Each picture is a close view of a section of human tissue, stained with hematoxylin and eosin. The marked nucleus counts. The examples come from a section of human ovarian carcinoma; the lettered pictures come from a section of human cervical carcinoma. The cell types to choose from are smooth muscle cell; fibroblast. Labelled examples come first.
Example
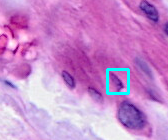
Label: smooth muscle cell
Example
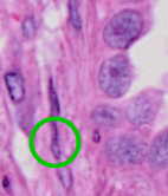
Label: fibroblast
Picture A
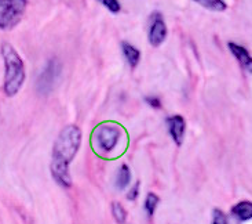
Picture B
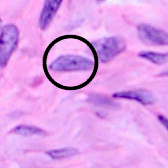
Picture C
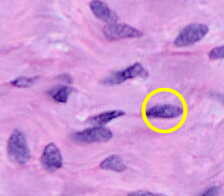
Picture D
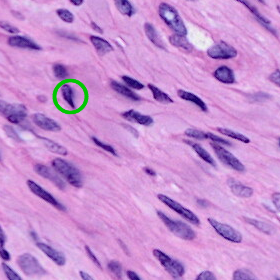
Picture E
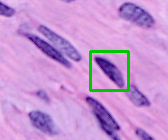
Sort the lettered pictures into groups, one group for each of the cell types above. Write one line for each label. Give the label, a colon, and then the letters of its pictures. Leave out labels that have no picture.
smooth muscle cell: A
fibroblast: B, C, D, E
